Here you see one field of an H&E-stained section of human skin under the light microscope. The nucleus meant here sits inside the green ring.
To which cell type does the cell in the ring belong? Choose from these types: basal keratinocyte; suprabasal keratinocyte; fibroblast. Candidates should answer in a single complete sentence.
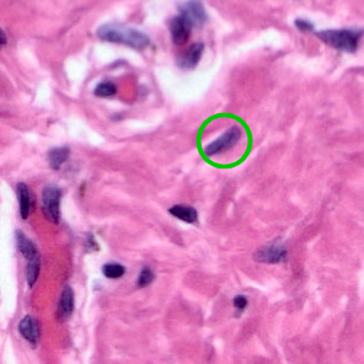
As classified here, the cell in the ring is a fibroblast.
